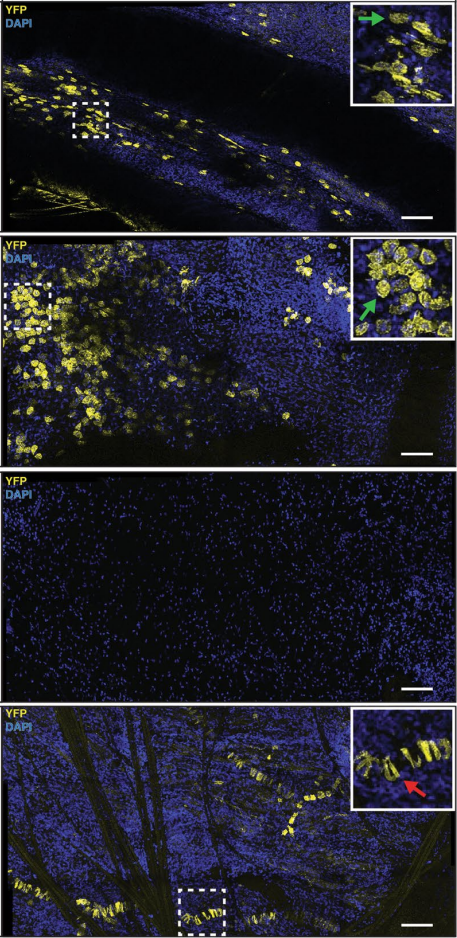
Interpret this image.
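Scattered among many blue nuclei are clusters of yellow-filled, rounded to polygonal cells packed against one another, shown enlarged in the insets. In one of the rows, long yellow bands with a striped, segmented look run across the tissue instead.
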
